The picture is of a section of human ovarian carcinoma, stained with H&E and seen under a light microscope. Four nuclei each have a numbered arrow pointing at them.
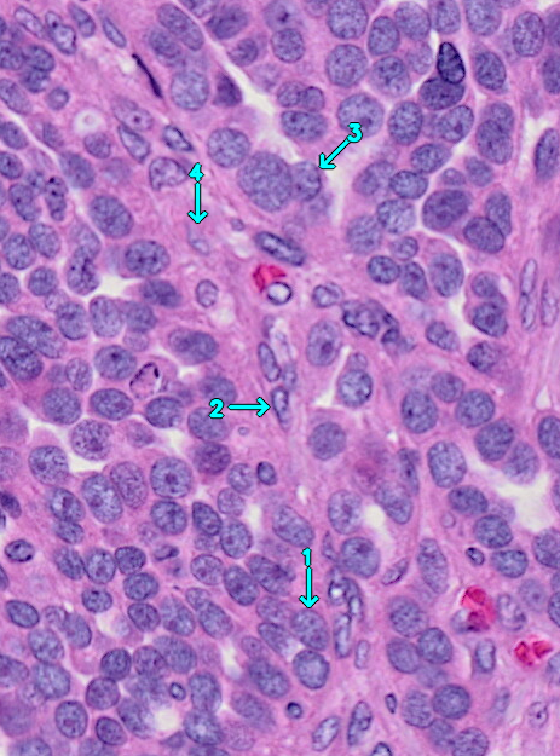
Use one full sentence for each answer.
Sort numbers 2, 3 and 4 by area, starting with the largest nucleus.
Going from the biggest nucleus down to the smallest gives 3, 2, 4.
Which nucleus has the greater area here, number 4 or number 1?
Number 1 is larger; its area is about 2.5 times that of number 4.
